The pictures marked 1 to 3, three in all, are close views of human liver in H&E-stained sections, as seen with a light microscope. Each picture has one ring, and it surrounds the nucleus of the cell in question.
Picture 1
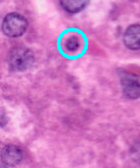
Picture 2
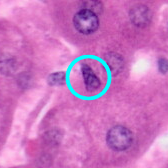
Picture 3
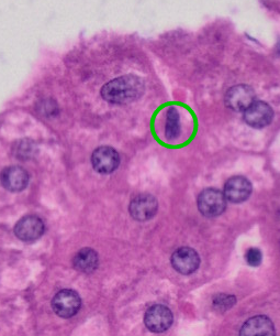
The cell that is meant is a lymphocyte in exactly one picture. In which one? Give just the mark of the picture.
1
